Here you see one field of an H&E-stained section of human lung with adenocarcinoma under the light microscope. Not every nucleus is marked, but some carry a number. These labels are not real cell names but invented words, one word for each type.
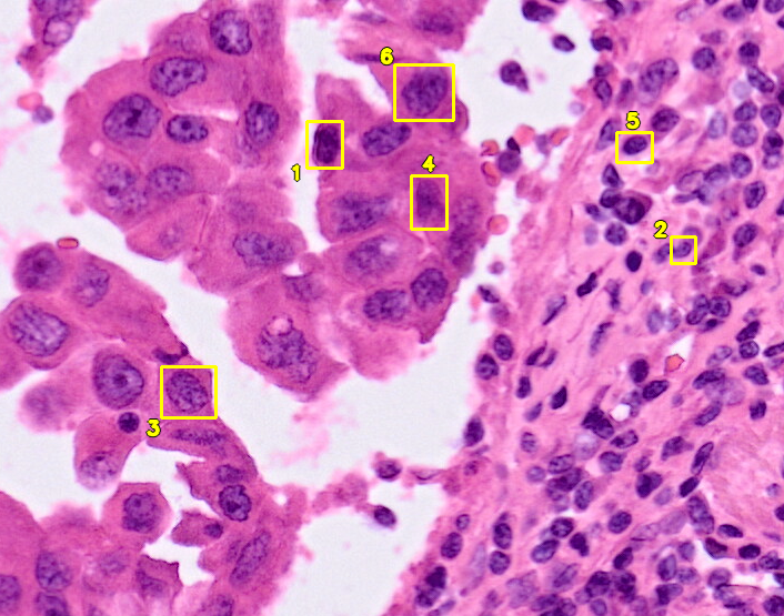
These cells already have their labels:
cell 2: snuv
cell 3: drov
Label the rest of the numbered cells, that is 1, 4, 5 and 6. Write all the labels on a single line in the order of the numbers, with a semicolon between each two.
drov; drov; snuv; drov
